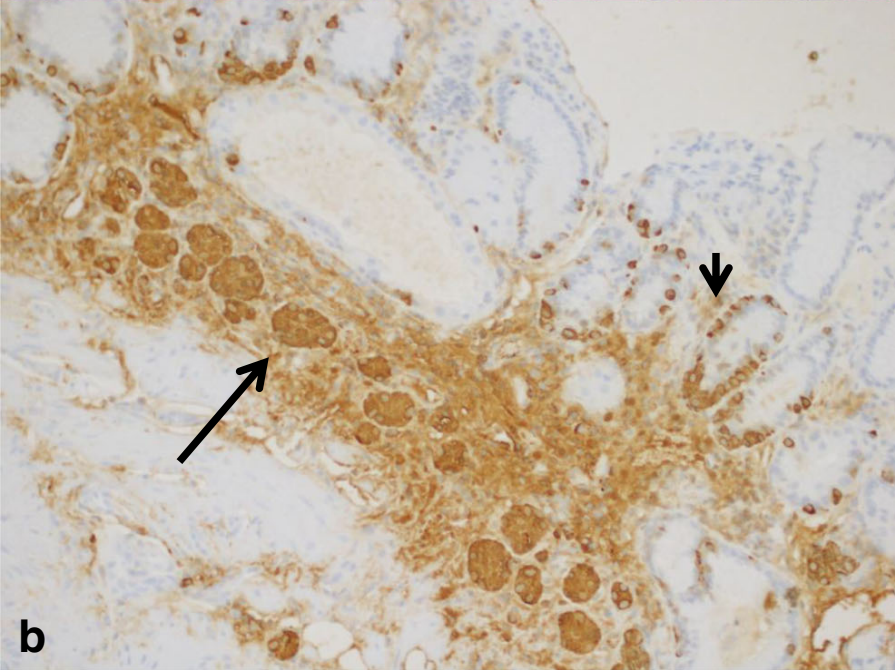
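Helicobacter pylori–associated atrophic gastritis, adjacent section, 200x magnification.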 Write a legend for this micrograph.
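Deep in the mucosa, between the pale blue counterstained glands, the brown cells gather into many small rounded solid nodules. Scattered single brown cells also sit within other glands, and a diffuse lighter brown tinge fills the stroma around the nodules.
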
